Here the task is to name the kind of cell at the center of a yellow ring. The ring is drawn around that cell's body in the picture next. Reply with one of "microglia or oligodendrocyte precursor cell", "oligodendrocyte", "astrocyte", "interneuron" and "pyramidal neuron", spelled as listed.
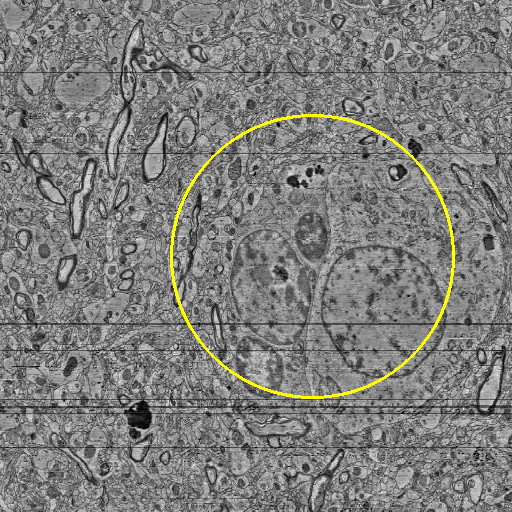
oligodendrocyte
